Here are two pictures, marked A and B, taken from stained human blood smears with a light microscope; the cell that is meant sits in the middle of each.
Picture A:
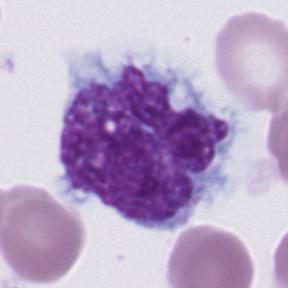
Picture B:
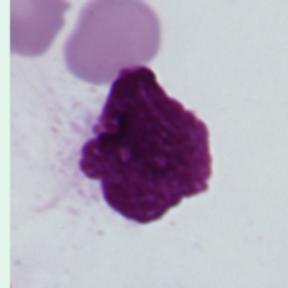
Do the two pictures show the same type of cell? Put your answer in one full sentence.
No, they differ: the cell is a monocyte in picture A and a smudge cell in picture B.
